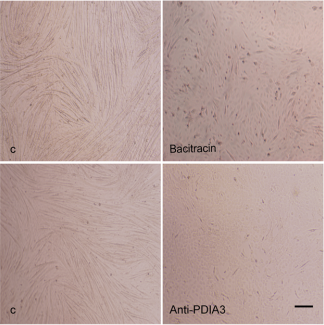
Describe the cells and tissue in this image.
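In the left images the cells are long, thin and spindle-shaped, lying densely side by side in parallel streams and swirls. In the right images the cells are sparser and mostly short, with fewer long aligned cells.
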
